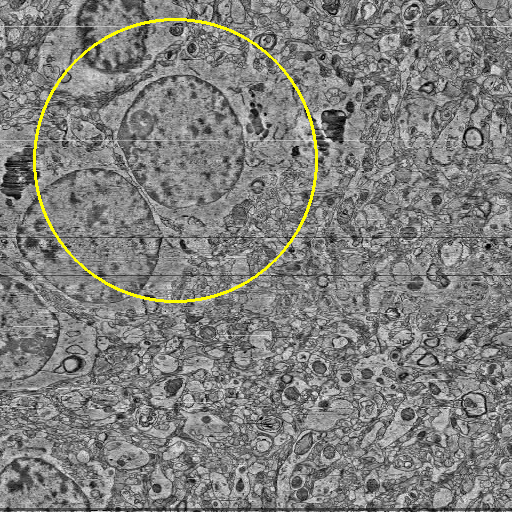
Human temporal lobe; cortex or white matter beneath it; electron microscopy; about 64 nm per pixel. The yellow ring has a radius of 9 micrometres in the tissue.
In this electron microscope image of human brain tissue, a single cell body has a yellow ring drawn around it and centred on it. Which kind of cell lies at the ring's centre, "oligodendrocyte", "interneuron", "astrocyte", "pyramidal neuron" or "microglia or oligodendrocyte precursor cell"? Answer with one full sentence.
It is an astrocyte whose cell body lies at the centre of the yellow ring here.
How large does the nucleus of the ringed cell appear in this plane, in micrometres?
The nucleus has a long axis of about 9 micrometres and a short axis of about 8 micrometres in this plane.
